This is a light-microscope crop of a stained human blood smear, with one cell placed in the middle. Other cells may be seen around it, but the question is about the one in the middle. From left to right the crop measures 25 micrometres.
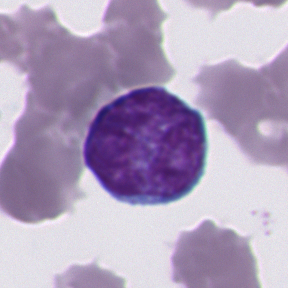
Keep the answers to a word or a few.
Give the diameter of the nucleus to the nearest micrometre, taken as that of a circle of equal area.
10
